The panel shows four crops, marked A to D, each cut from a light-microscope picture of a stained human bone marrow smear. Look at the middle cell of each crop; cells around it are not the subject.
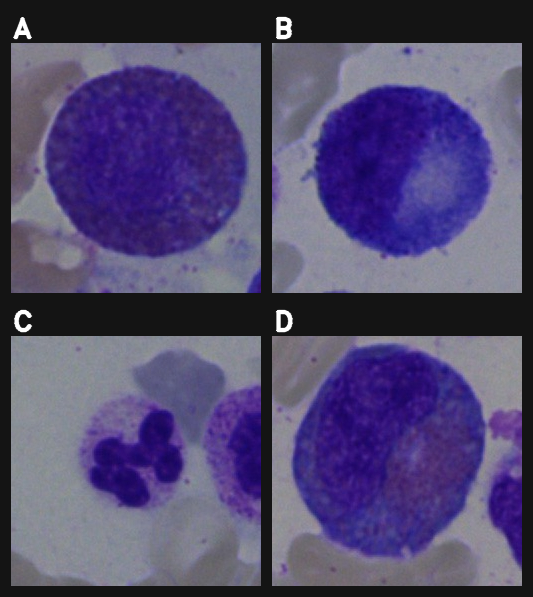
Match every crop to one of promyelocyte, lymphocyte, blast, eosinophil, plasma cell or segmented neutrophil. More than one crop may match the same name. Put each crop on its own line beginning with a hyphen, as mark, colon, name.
- A: eosinophil
- B: promyelocyte
- C: segmented neutrophil
- D: eosinophil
